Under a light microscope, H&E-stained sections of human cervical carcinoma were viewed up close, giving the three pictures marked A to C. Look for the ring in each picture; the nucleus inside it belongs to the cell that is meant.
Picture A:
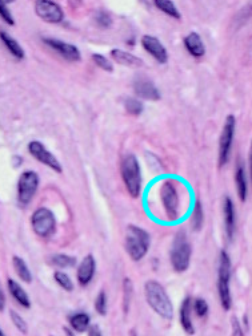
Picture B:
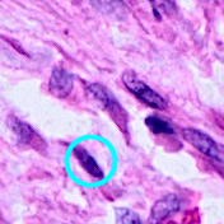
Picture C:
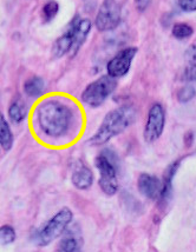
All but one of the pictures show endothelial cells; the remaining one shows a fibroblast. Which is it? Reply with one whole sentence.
The cell in picture B is the fibroblast.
